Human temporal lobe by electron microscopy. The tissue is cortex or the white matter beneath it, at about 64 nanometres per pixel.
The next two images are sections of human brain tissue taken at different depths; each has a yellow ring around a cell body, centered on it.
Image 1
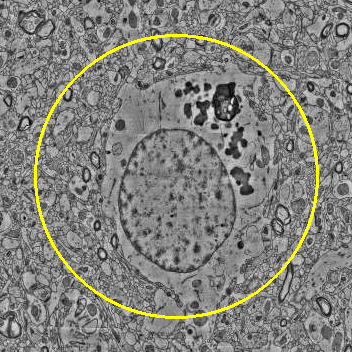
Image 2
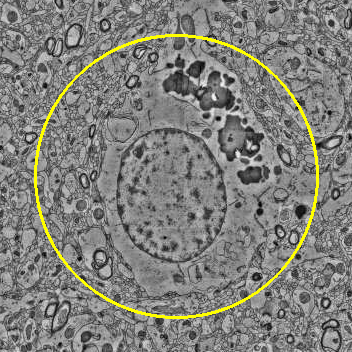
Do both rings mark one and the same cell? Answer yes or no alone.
yes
